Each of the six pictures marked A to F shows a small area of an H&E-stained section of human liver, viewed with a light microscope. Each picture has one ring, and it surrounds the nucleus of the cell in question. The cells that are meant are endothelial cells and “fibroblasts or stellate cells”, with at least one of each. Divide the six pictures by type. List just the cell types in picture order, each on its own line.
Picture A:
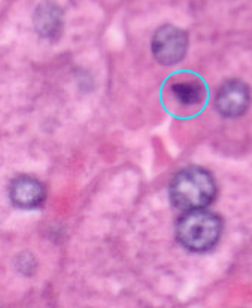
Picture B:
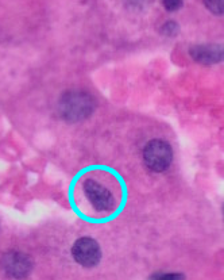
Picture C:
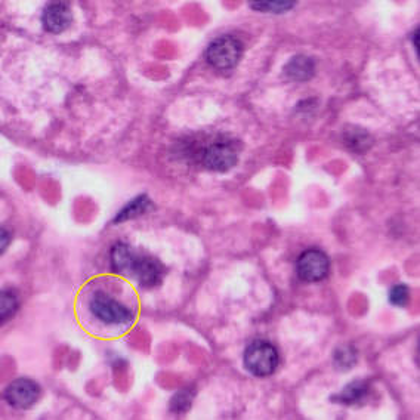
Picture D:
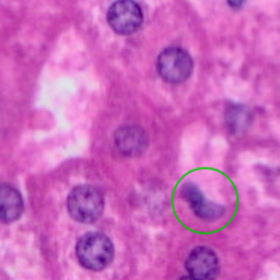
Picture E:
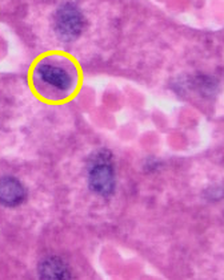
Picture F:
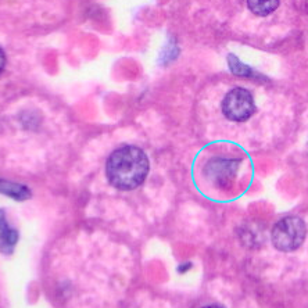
fibroblast or stellate cell
fibroblast or stellate cell
fibroblast or stellate cell
endothelial cell
fibroblast or stellate cell
endothelial cell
